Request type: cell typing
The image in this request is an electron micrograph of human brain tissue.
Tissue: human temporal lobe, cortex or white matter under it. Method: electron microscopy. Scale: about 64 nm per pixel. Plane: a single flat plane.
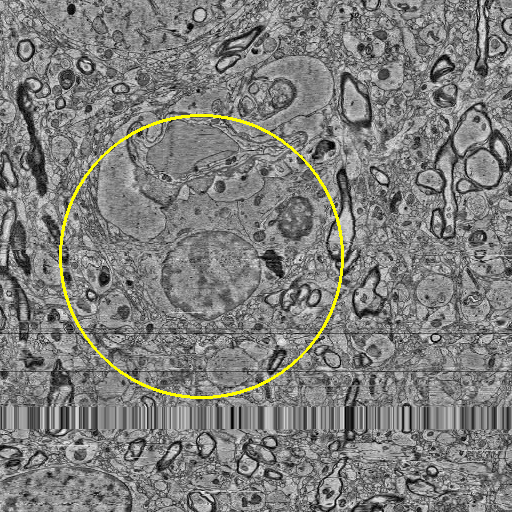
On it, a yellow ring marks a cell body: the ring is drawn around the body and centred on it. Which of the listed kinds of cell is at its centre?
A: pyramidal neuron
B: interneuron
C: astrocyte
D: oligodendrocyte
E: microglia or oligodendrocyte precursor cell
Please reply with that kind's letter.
D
